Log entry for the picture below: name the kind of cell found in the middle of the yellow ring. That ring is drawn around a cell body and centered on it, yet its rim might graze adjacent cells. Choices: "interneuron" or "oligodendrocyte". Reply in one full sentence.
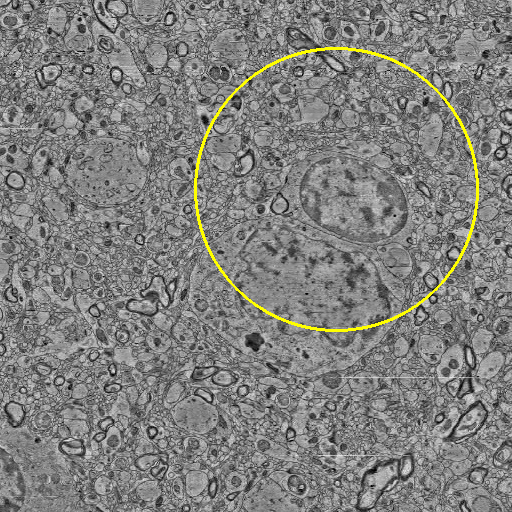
The cell in the middle of the yellow ring in this picture is an oligodendrocyte.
